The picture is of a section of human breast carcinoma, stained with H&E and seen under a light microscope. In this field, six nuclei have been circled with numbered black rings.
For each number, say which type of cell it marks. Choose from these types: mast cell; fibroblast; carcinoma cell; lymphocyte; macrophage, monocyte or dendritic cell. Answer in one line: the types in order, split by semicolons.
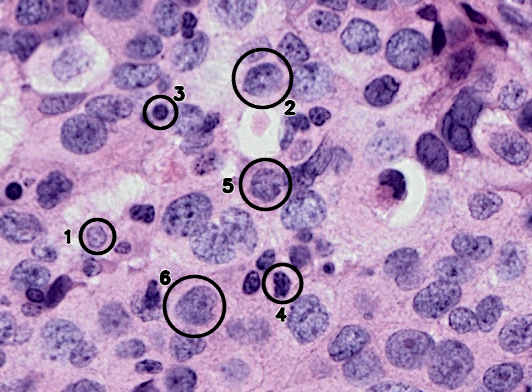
macrophage, monocyte or dendritic cell; carcinoma cell; lymphocyte; lymphocyte; carcinoma cell; carcinoma cell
